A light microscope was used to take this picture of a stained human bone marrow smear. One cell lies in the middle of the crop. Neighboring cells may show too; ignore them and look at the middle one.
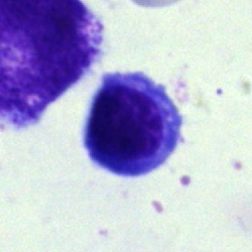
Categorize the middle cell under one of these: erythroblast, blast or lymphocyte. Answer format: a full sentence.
The crop shows an erythroblast in its centre.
